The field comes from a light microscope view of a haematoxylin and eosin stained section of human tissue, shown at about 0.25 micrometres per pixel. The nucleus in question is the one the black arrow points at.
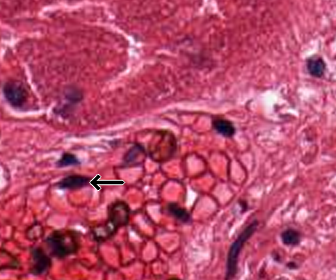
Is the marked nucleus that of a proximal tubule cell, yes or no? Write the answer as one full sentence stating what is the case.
No, the marked nucleus is to be assigned to a supporting cell, not to a proximal tubule cell.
